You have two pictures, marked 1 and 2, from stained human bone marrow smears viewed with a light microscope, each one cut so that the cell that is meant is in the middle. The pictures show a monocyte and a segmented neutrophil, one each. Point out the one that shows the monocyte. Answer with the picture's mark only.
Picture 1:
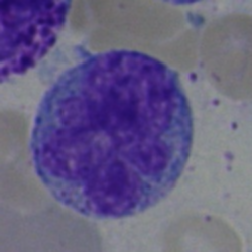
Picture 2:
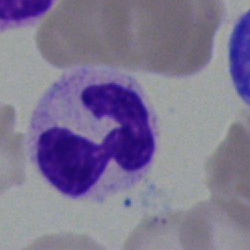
1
